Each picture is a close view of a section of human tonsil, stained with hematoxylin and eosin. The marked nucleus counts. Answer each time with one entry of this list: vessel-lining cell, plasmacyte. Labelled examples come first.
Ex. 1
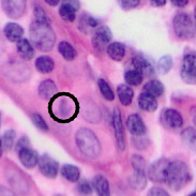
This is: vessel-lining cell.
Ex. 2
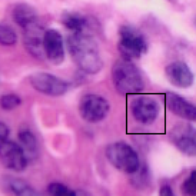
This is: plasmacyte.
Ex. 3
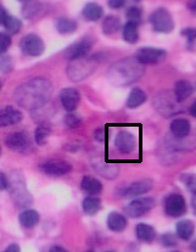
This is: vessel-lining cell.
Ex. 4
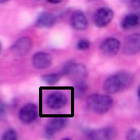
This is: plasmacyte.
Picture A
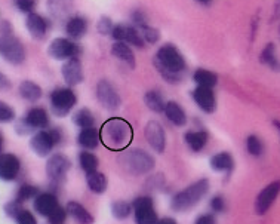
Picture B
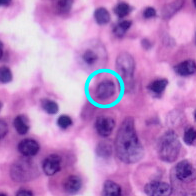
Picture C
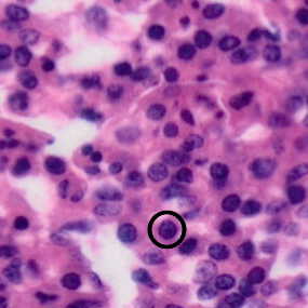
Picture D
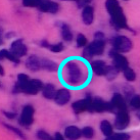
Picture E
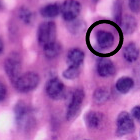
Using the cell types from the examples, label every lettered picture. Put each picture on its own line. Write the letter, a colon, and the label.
A: vessel-lining cell.
B: plasmacyte.
C: plasmacyte.
D: vessel-lining cell.
E: plasmacyte.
